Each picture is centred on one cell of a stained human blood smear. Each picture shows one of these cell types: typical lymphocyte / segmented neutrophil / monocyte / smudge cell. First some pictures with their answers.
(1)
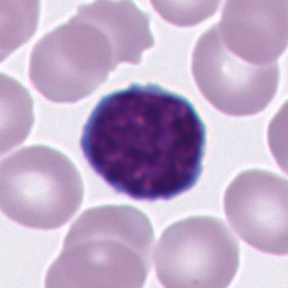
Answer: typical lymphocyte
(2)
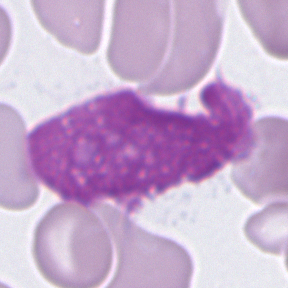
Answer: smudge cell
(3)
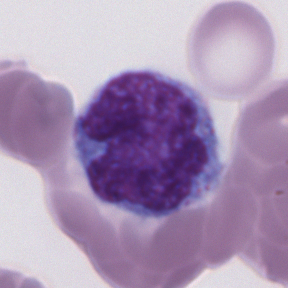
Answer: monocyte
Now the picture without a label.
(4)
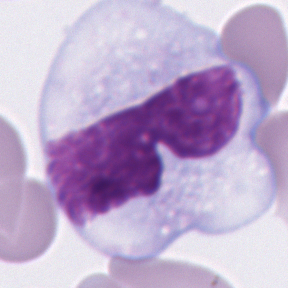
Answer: monocyte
